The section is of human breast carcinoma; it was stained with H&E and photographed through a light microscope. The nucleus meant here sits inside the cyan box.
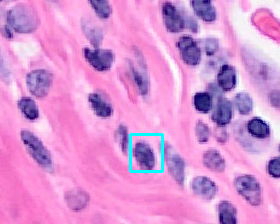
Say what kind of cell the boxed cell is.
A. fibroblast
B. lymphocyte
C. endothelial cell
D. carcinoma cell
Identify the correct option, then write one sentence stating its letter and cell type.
The correct identification, the boxed cell as a lymphocyte, is given by option B.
